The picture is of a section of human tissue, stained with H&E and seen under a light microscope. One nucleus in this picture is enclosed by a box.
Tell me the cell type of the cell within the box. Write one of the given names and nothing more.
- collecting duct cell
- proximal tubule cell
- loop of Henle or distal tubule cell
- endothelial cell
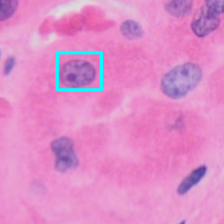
proximal tubule cell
